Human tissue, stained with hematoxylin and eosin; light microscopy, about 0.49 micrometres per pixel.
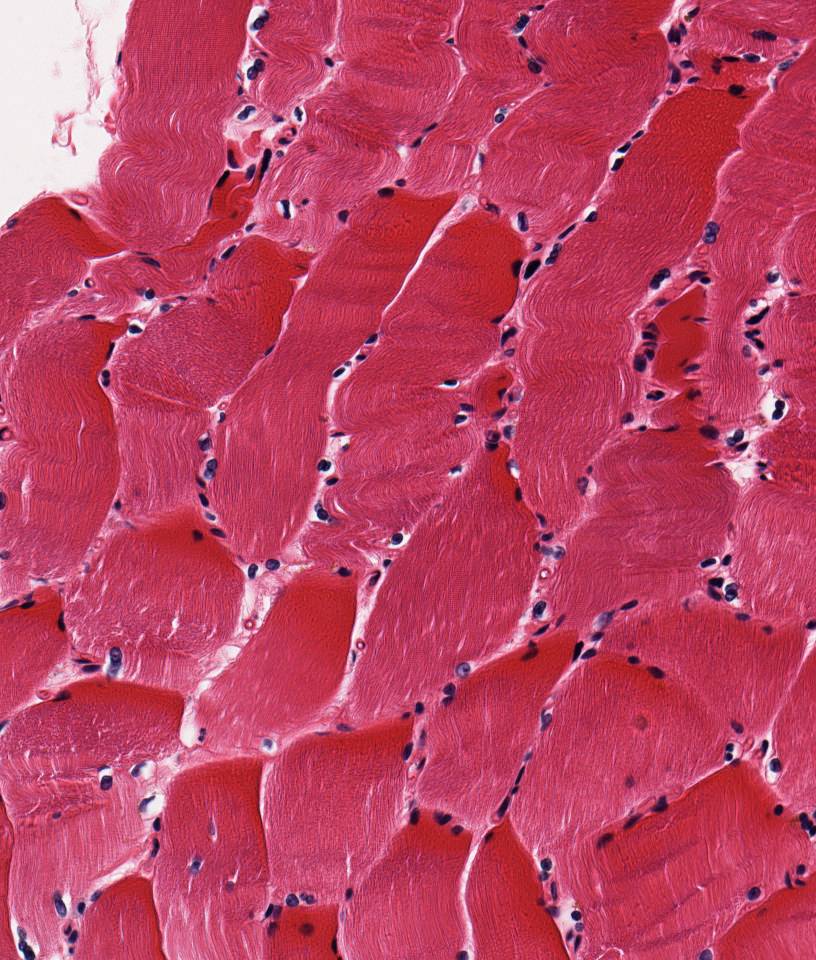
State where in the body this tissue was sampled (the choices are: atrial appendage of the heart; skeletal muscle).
skeletal muscle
